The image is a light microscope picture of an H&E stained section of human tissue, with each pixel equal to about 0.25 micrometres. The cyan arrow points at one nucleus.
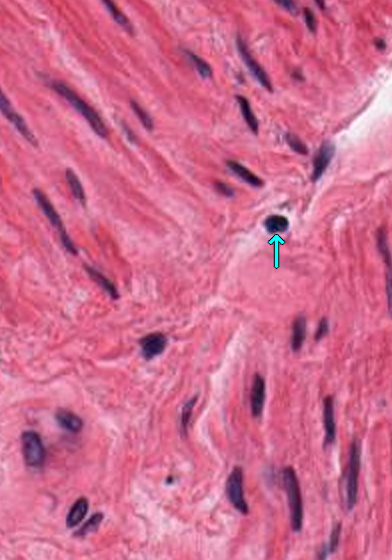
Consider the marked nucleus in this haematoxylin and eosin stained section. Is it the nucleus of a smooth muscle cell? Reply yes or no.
no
